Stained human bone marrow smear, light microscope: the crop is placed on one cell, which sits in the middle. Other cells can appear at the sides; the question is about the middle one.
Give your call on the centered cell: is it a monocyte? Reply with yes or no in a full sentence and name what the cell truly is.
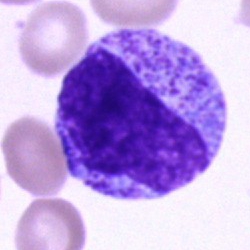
No, wrong label: the middle cell is a promyelocyte instead of a monocyte.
